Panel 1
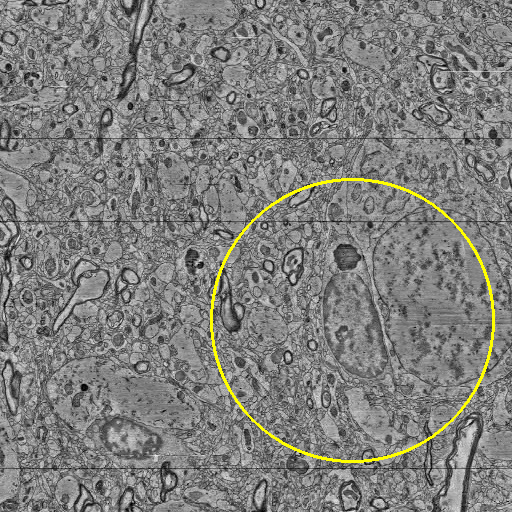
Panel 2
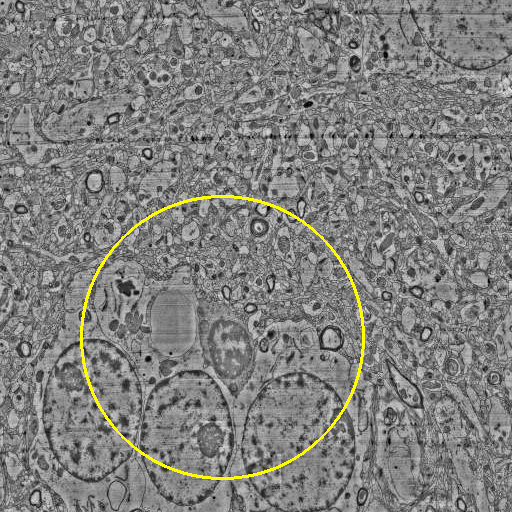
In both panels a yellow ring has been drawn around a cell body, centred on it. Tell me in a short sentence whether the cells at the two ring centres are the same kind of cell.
Yes, they are the same kind of cell.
